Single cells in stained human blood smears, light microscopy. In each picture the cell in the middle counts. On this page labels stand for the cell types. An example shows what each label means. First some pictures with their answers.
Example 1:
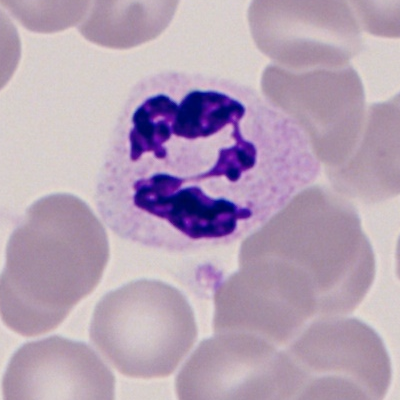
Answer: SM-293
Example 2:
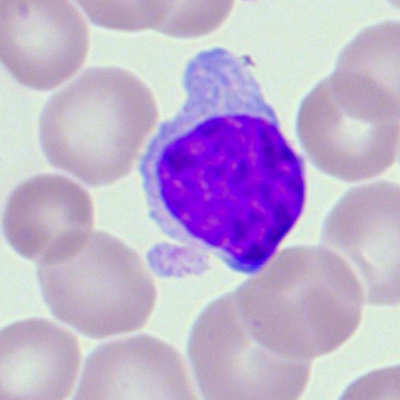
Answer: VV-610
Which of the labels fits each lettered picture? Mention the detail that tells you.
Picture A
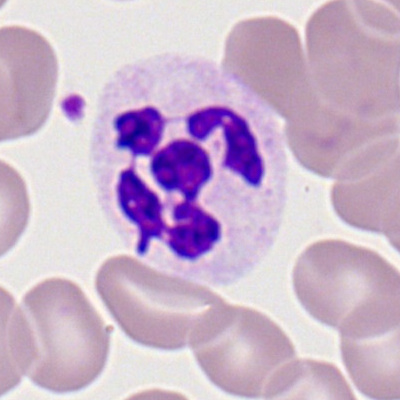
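Answer: SM-293. The cytoplasm is plentiful and pale pinkish-lilac.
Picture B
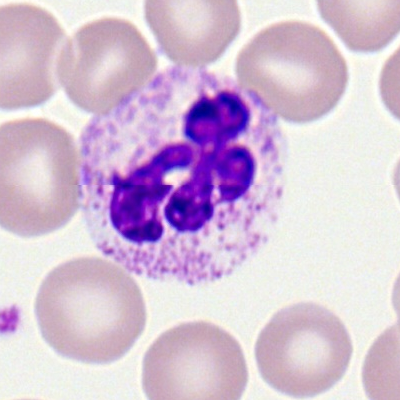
Answer: SM-293. Abundant pale pinkish-lilac cytoplasm surrounds the nucleus.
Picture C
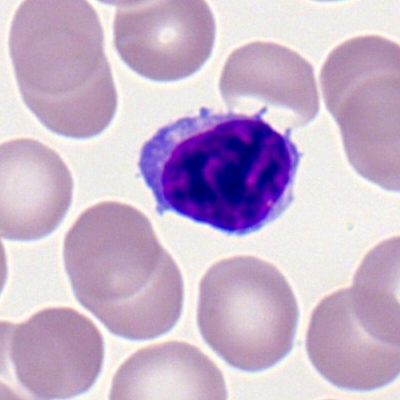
Answer: VV-610. The cytoplasm is scant, forming a narrow rim that is widest on the left side of the nucleus.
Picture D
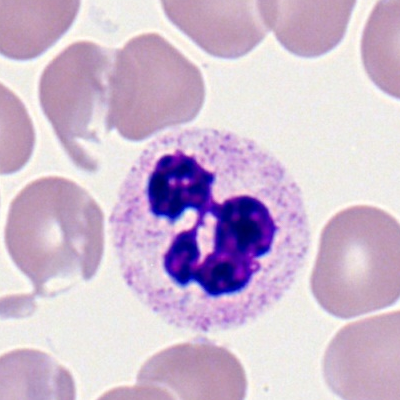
Answer: SM-293. The cytoplasm is abundant and pale pinkish-lilac.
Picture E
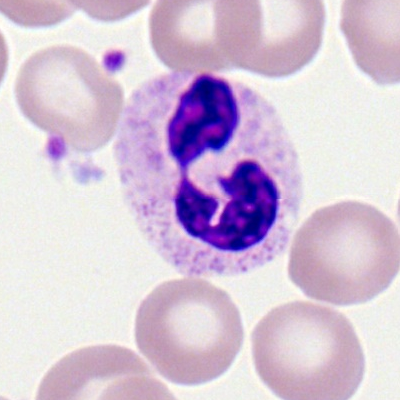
Answer: SM-293. The nucleus is divided into two lobes.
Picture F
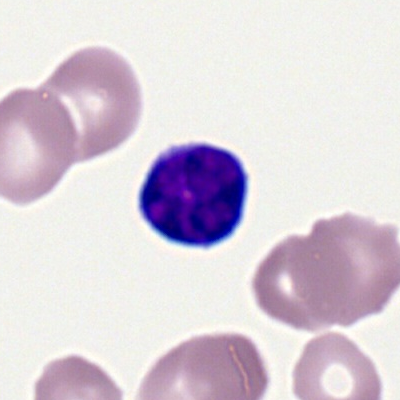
Answer: VV-610. The cytoplasm is scant, at most a very thin rim around the nucleus.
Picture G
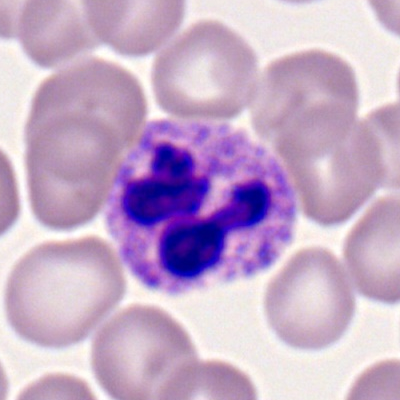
Answer: SM-293. The nucleus is divided into several separate lobes.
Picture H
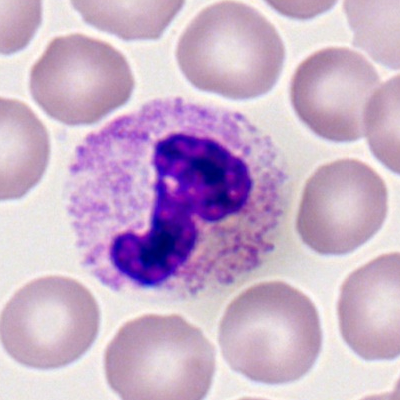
Answer: SM-293. The nucleus is a single curved band that is not split into separate lobes.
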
